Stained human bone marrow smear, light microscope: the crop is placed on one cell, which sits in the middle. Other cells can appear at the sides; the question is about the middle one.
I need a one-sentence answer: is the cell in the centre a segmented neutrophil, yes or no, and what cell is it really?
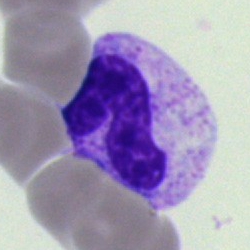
No, this one is a band neutrophil; it is not a segmented neutrophil.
